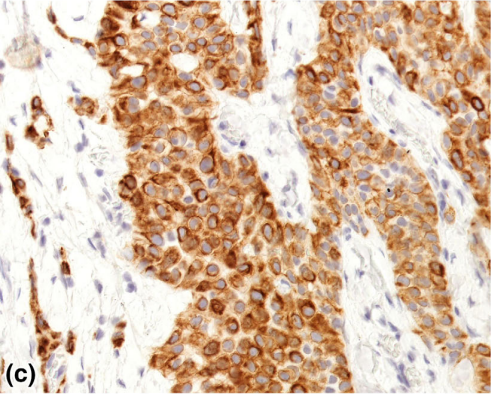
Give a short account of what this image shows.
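Nests and broad cords of epithelioid tumor cells whose cytoplasm is stained strongly brown, with the staining often accentuated around the nucleus and at the cell borders, while the round to oval nuclei remain pale blue. The tumor cell groups are separated by pale, loose stroma containing unstained spindle-shaped cells with elongated blue nuclei. Small clusters and single stained tumor cells also lie within the stroma at the edge of the field, and a few small clear spaces appear within the nests.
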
